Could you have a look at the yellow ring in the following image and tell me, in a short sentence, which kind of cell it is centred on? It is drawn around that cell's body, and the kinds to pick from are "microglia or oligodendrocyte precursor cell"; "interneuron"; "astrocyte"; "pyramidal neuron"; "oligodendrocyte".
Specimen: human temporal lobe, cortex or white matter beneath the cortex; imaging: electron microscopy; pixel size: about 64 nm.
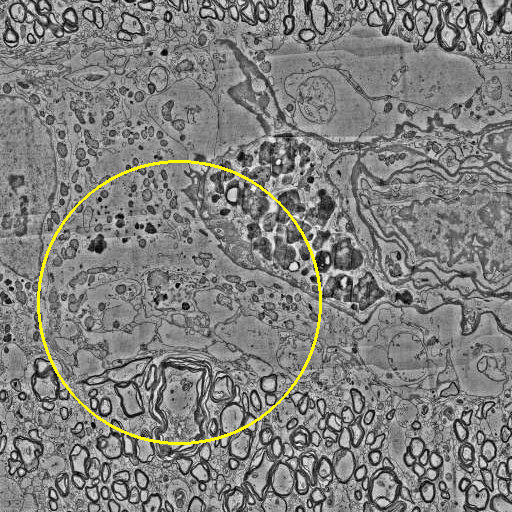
The ring is centred on the body of a microglial cell or oligodendrocyte precursor cell.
